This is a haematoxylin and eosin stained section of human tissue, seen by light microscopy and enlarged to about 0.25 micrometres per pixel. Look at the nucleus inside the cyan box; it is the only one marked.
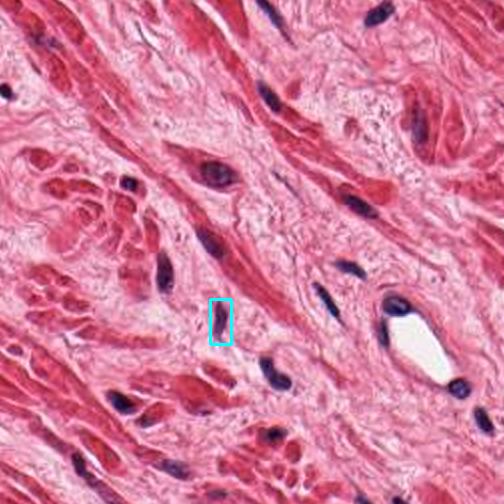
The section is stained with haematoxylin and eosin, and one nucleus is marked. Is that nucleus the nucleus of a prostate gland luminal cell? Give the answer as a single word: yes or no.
no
